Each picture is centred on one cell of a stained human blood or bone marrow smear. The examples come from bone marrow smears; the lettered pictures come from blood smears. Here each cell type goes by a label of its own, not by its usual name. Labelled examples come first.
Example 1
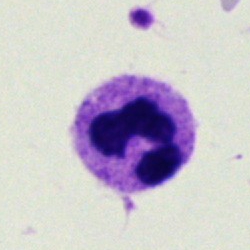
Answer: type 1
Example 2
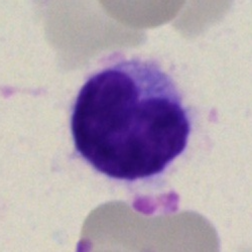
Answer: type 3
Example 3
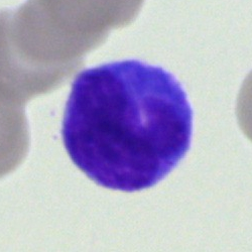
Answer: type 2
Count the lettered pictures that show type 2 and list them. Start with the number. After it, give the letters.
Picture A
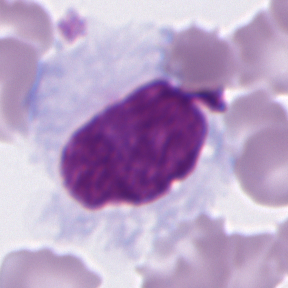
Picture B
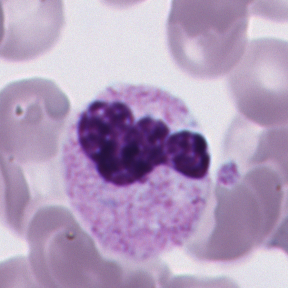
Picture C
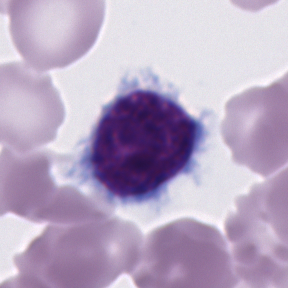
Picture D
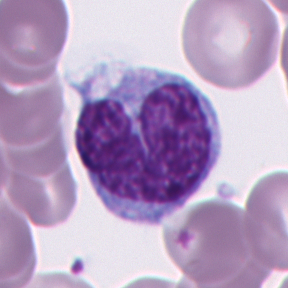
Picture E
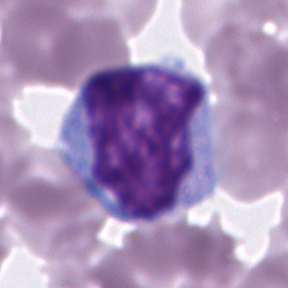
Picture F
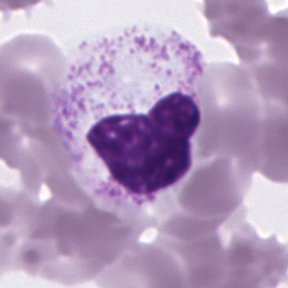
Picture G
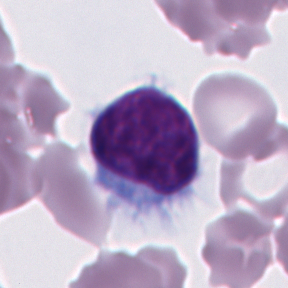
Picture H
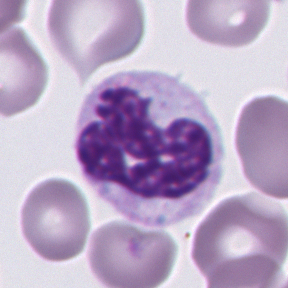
2: D, E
